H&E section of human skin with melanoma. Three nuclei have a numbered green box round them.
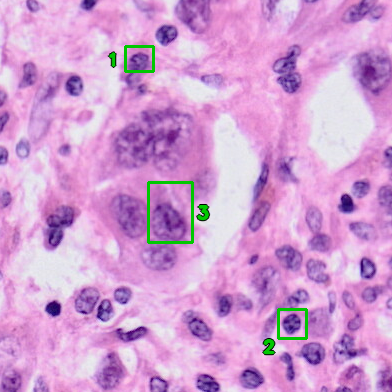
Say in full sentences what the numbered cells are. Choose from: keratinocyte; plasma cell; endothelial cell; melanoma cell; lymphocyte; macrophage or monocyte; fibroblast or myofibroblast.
Cell 1 is a macrophage or monocyte, cell 2 is a lymphocyte and cell 3 is a melanoma cell.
